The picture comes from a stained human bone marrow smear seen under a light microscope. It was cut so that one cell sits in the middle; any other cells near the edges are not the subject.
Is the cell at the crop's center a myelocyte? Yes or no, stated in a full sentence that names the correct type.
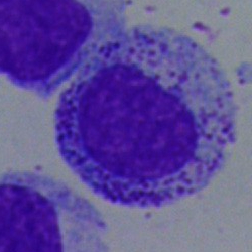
Yes, the cell in the center of this crop is a myelocyte.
